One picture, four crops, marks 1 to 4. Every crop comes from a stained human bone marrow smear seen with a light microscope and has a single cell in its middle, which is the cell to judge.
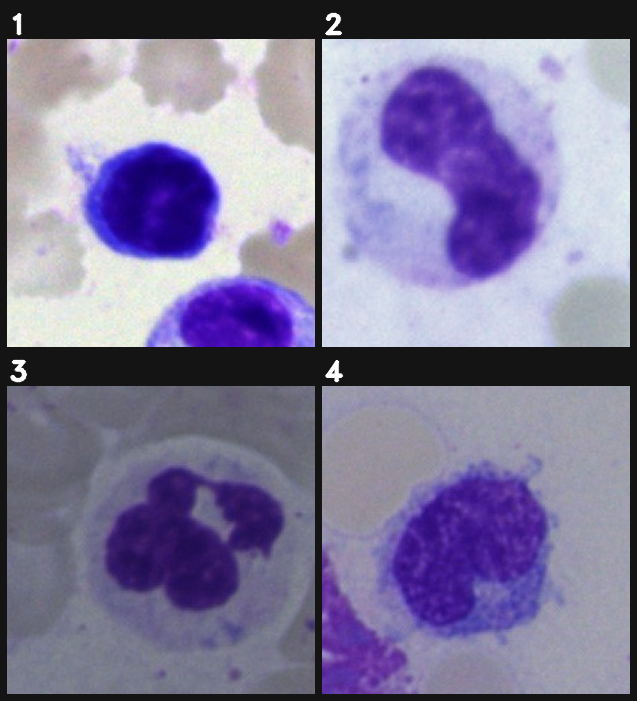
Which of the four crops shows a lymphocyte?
1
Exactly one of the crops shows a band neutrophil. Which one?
2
